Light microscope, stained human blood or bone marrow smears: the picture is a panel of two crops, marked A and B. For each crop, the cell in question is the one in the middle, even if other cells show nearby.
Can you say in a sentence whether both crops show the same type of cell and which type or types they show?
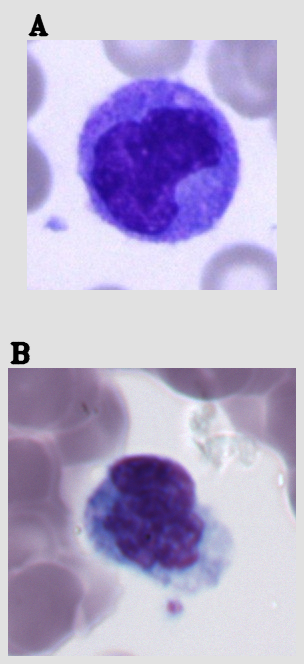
Yes, the cells in both crops are monocytes.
